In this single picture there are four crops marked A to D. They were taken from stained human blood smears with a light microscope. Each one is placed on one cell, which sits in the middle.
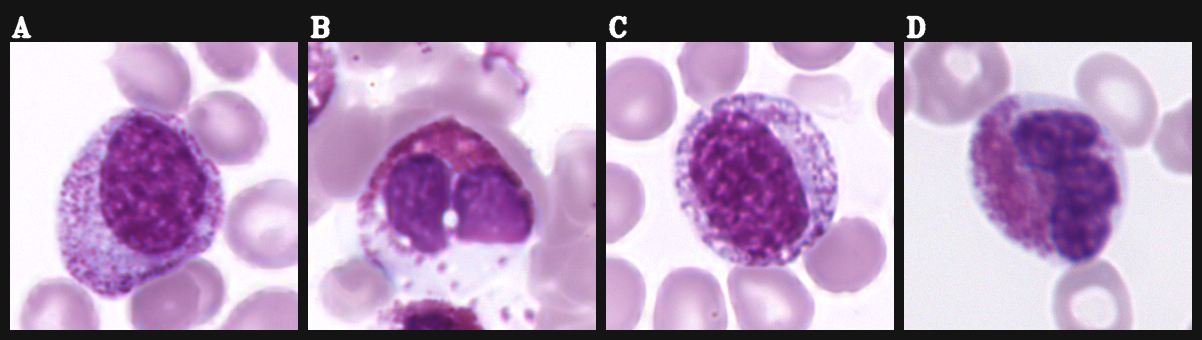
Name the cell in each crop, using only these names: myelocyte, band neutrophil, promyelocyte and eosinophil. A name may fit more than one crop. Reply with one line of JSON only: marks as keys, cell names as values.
{"A": "myelocyte", "B": "eosinophil", "C": "myelocyte", "D": "eosinophil"}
